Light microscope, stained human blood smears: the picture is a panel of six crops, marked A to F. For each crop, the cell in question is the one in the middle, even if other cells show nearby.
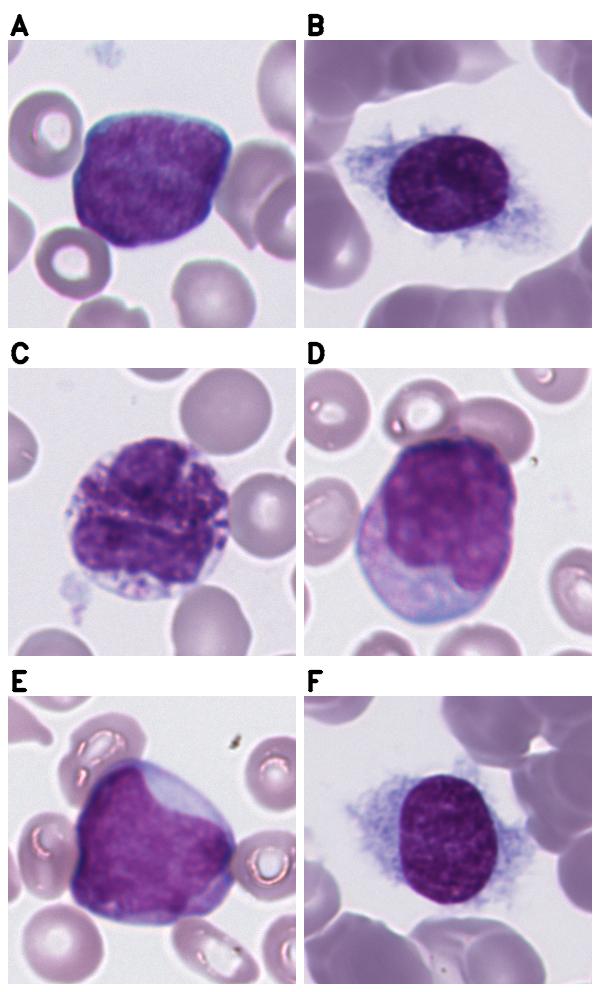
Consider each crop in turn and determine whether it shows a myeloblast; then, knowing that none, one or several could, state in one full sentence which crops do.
Crop A is the only crop that shows a myeloblast.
